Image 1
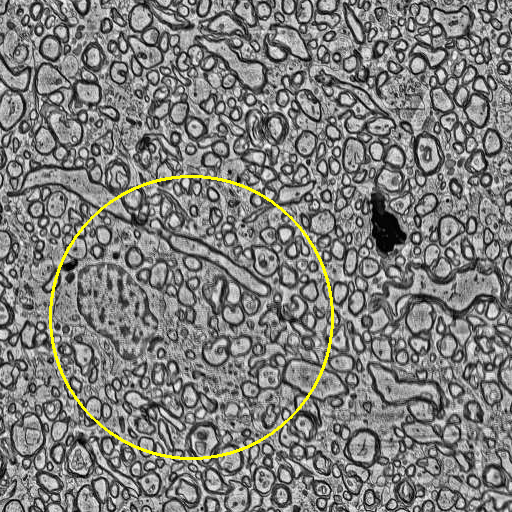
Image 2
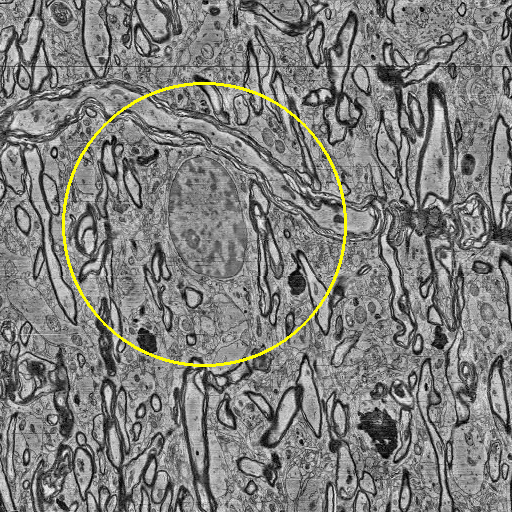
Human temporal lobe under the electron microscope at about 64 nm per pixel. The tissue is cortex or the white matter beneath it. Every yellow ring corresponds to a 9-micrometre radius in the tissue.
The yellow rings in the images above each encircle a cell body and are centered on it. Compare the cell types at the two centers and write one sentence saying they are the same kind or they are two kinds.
Taken together, the two cells at the ring centers are the same kind.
